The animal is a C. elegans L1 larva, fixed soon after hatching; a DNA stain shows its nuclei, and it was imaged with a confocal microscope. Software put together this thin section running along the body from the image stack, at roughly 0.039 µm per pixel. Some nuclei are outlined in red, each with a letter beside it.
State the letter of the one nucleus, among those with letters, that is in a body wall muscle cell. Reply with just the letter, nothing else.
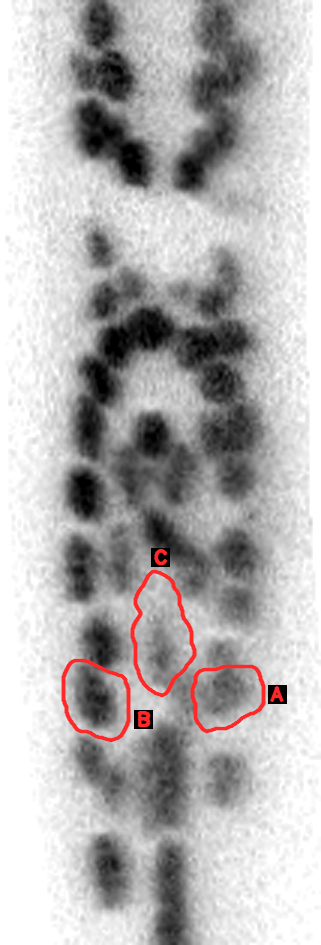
A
